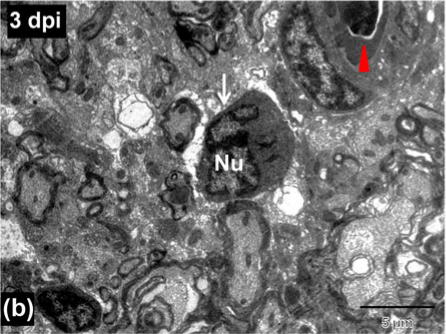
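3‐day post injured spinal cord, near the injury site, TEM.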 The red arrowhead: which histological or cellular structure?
Blood vessel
